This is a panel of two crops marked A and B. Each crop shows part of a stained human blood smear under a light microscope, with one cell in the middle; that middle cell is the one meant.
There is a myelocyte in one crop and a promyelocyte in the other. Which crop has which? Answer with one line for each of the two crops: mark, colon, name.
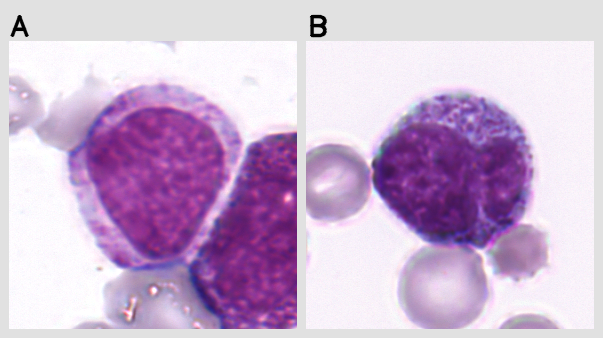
A: promyelocyte
B: myelocyte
